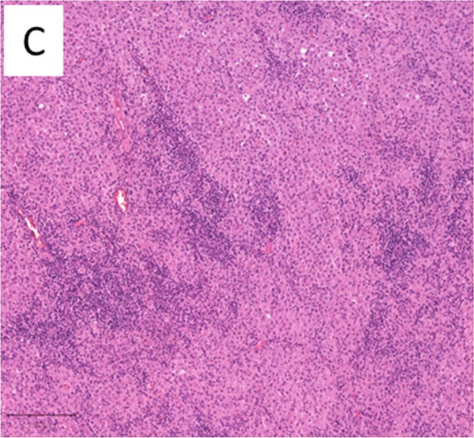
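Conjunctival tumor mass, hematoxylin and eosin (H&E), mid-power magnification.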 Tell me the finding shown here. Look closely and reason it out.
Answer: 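Admixture of the macrophages and lymphocytes. Broad sheets of pale pink cells with abundant cytoplasm. Streaks and clusters of small, densely packed dark blue nuclei run between the pale sheets.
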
